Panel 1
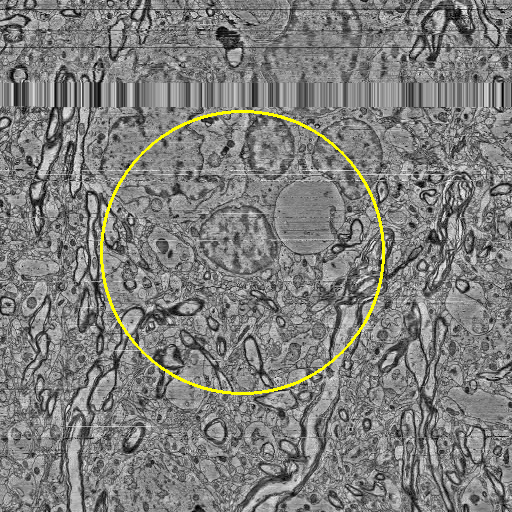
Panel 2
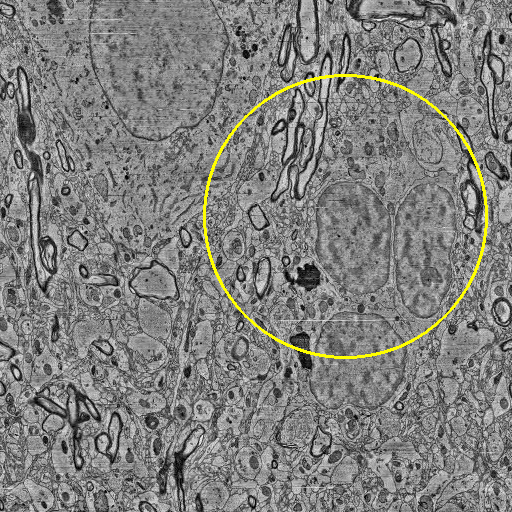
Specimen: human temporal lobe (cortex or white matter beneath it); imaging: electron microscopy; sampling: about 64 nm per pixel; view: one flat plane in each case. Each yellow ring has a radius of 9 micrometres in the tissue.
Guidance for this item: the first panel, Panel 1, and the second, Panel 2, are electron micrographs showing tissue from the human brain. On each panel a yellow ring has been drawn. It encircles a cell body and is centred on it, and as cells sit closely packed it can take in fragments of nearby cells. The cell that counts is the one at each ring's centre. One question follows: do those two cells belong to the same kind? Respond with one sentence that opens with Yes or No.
Yes, the cells at the ring centres in Panel 1 and Panel 2 are of one kind.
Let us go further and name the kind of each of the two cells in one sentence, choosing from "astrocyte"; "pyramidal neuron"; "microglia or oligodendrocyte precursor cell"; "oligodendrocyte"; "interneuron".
Each of the two cells is an oligodendrocyte.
